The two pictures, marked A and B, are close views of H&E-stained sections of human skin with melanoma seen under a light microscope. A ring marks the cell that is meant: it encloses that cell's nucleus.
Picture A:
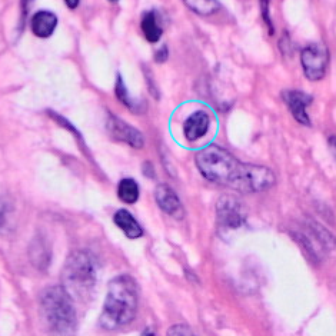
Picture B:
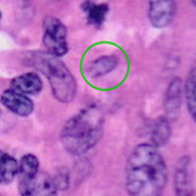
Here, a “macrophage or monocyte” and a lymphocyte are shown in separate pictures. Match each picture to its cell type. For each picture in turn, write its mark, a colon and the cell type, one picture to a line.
A: lymphocyte
B: macrophage or monocyte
